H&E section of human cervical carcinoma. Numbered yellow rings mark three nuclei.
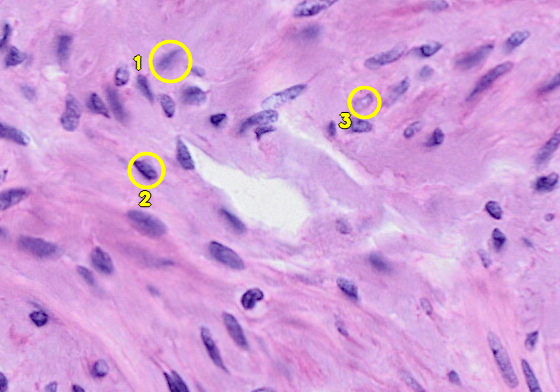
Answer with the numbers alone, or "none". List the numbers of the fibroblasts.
1, 2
